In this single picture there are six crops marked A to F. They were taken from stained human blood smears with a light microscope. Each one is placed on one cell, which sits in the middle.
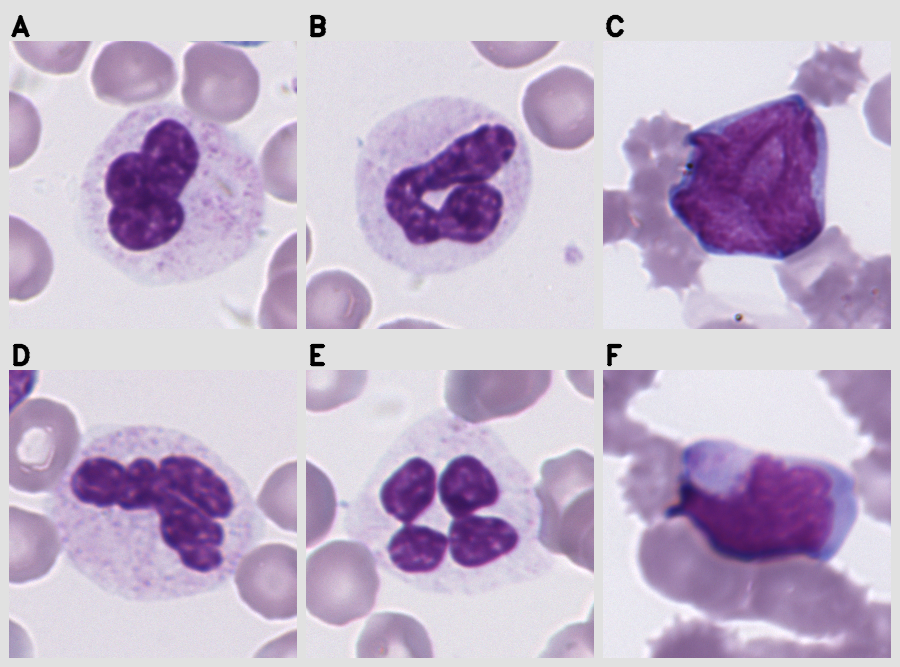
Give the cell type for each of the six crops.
A: neutrophil
B: neutrophil
C: blast
D: neutrophil
E: neutrophil
F: blast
